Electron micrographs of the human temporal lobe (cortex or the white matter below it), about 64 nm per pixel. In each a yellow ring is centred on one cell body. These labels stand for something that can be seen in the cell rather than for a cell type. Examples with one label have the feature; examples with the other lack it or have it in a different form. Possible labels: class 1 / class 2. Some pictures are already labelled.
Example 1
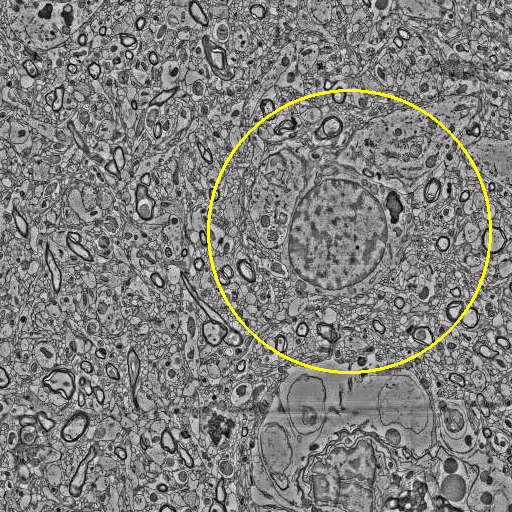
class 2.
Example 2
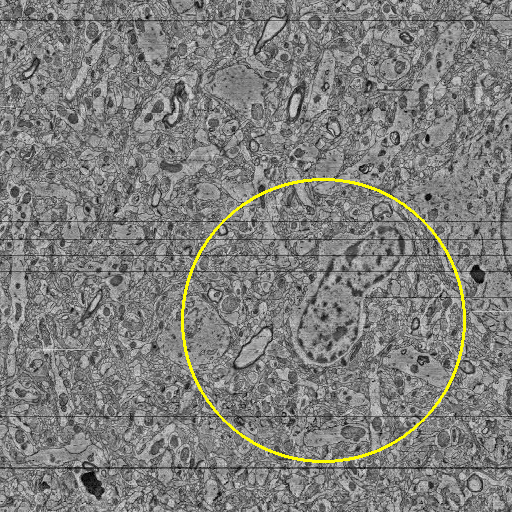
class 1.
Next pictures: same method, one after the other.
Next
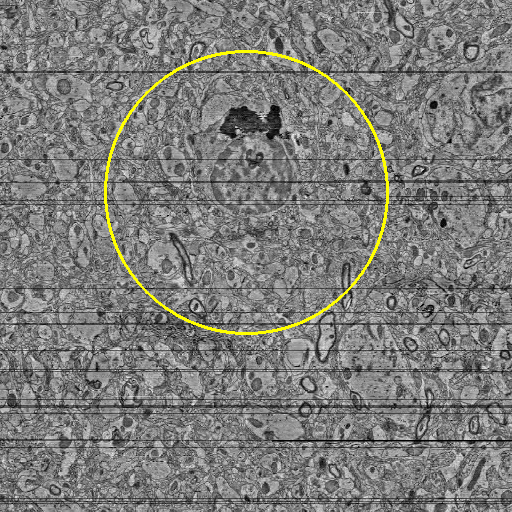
class 2.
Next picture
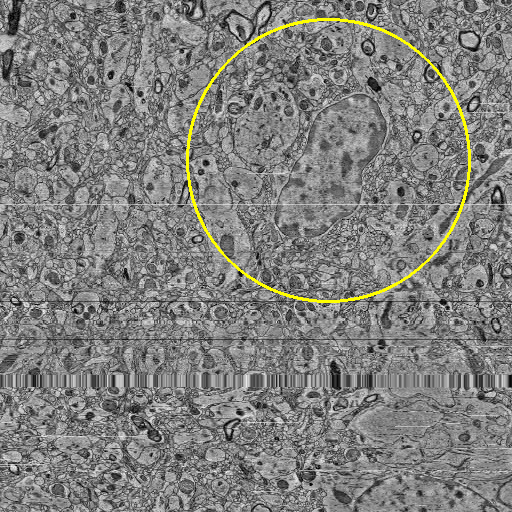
class 1.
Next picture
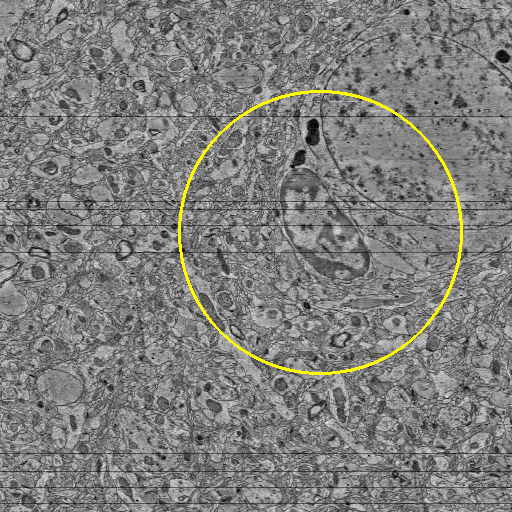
class 1.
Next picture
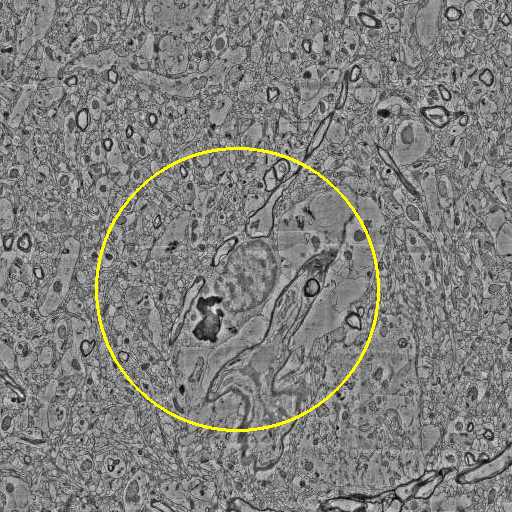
class 2.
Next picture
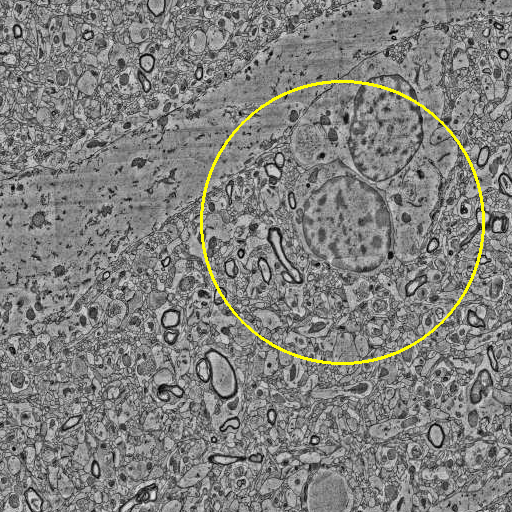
class 2.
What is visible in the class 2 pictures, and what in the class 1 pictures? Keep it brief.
class 2, round or nearly round nuclei; class 1, clearly elongated nuclei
